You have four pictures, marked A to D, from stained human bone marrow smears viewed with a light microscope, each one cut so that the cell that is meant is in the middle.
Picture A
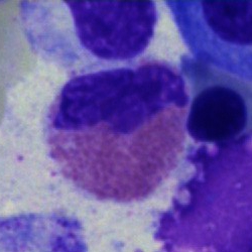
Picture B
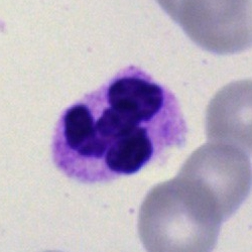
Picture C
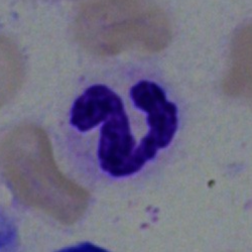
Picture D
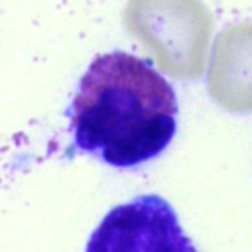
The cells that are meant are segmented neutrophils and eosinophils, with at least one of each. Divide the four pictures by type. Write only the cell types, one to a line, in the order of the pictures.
eosinophil
segmented neutrophil
segmented neutrophil
eosinophil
